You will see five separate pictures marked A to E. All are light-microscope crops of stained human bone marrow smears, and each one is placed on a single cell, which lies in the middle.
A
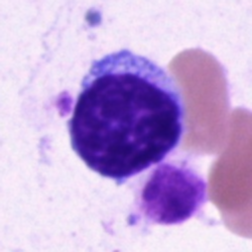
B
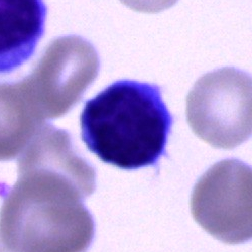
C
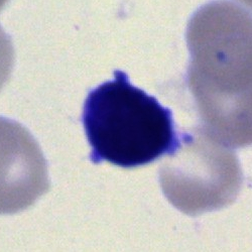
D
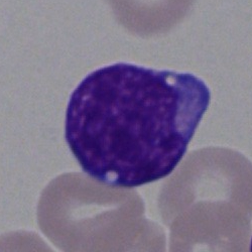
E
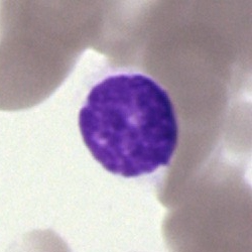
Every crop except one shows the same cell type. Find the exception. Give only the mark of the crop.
D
